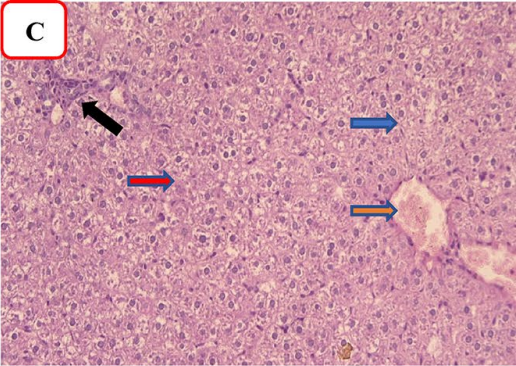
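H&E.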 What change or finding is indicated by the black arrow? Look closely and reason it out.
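The black arrow points to a cluster of small, densely packed, dark purple nuclei. The cluster stands out from the surrounding larger pale pink cells. That points to this answer: inflammatory cell infiltrate.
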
